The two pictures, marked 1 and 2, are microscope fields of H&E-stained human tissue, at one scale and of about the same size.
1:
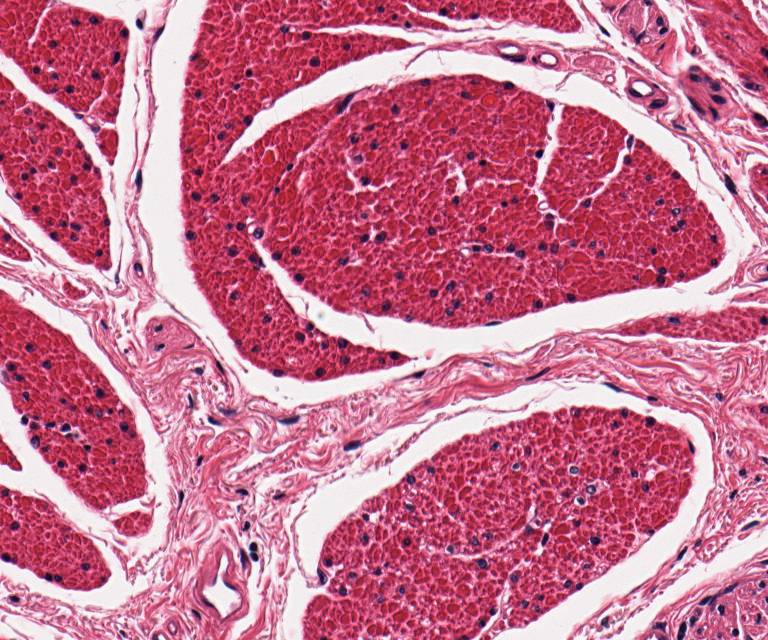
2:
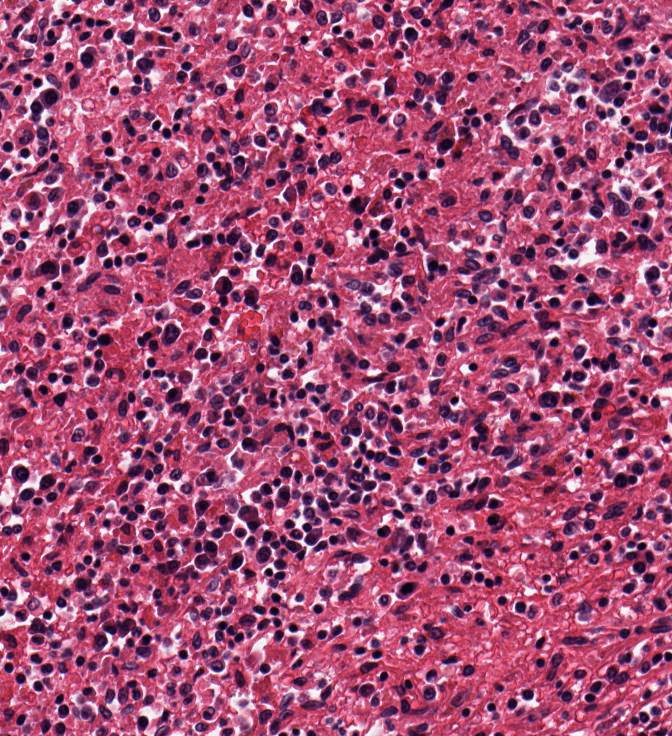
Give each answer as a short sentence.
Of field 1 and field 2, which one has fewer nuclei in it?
There are fewer nuclei in field 1.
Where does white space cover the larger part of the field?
Field 1 has more white space.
